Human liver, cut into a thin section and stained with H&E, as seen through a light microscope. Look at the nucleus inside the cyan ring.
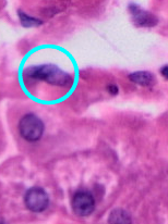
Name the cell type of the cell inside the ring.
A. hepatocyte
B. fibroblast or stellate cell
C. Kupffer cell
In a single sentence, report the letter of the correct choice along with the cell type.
The correct option, B, describes the cell inside the ring as a fibroblast or stellate cell.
